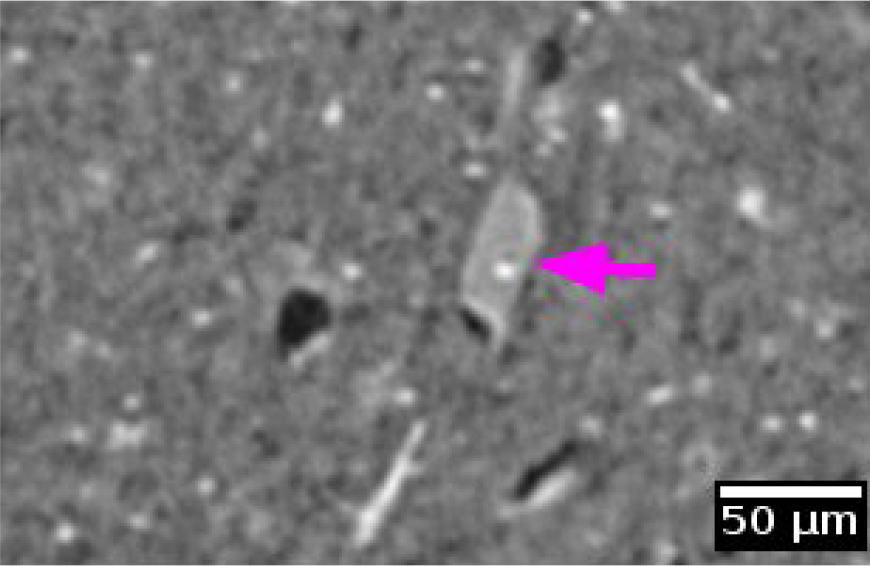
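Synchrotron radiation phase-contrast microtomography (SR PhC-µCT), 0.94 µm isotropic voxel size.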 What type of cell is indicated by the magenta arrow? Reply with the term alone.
Neurons.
